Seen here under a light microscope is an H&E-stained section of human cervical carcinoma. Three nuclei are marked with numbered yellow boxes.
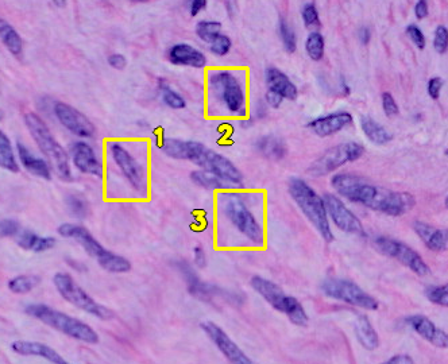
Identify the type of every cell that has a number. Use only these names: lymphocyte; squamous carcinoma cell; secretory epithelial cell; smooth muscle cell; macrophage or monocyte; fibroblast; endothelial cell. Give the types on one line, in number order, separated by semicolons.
smooth muscle cell; fibroblast; smooth muscle cell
